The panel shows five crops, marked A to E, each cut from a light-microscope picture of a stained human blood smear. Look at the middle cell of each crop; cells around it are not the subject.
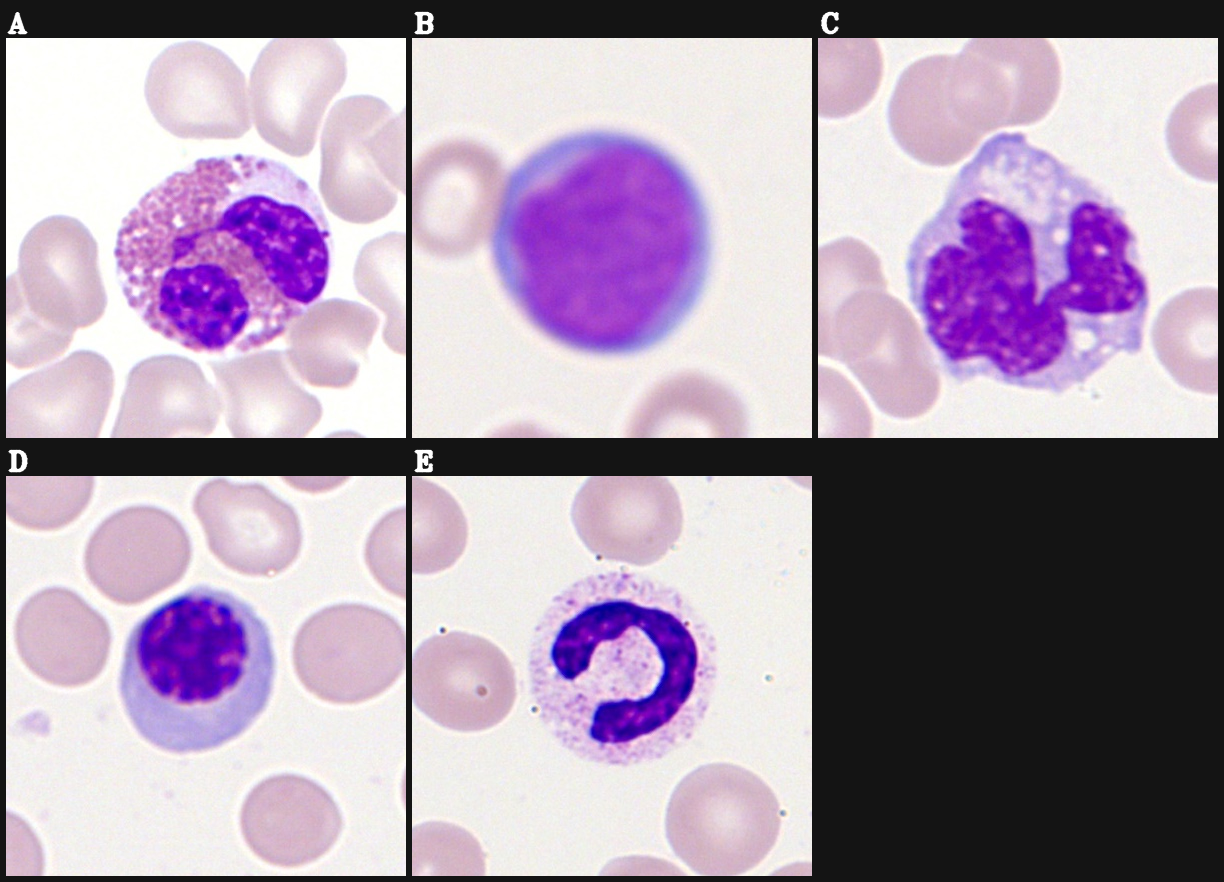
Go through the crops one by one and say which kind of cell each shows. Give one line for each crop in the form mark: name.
A: eosinophil
B: myeloblast
C: monocyte
D: normoblast
E: band neutrophil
